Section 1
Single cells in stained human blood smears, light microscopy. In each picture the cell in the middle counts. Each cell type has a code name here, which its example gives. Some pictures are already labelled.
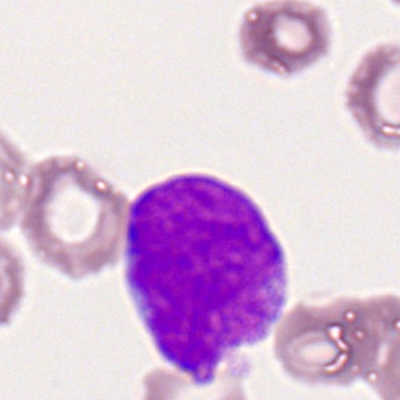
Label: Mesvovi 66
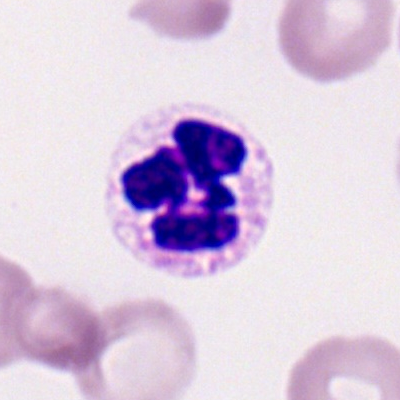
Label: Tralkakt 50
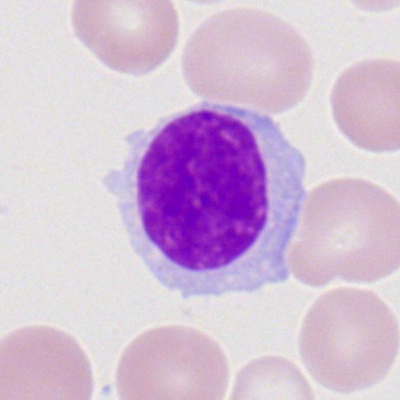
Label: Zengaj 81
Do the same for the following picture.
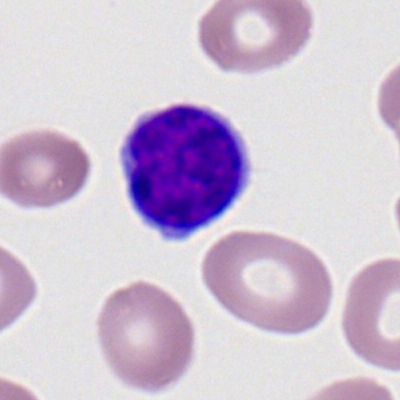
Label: Zengaj 81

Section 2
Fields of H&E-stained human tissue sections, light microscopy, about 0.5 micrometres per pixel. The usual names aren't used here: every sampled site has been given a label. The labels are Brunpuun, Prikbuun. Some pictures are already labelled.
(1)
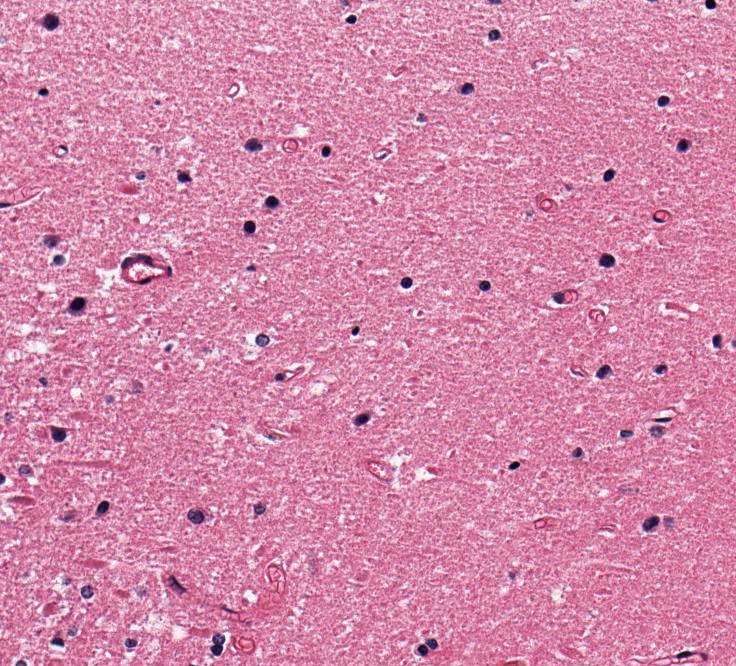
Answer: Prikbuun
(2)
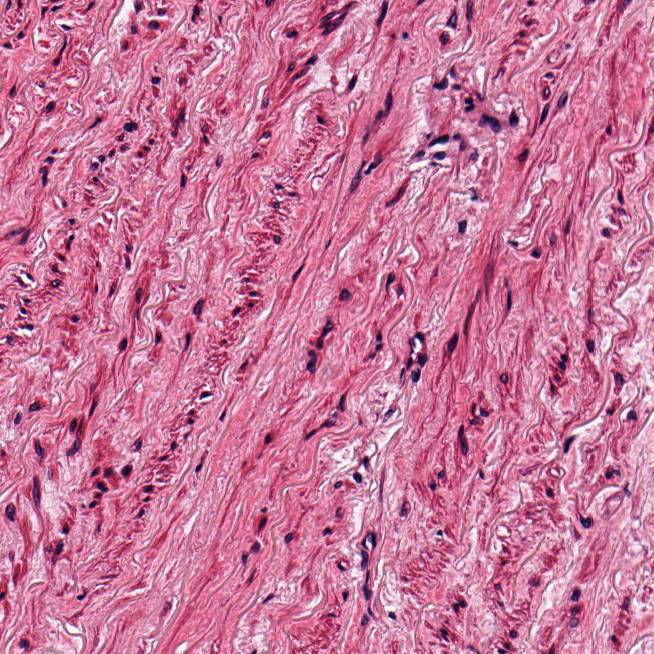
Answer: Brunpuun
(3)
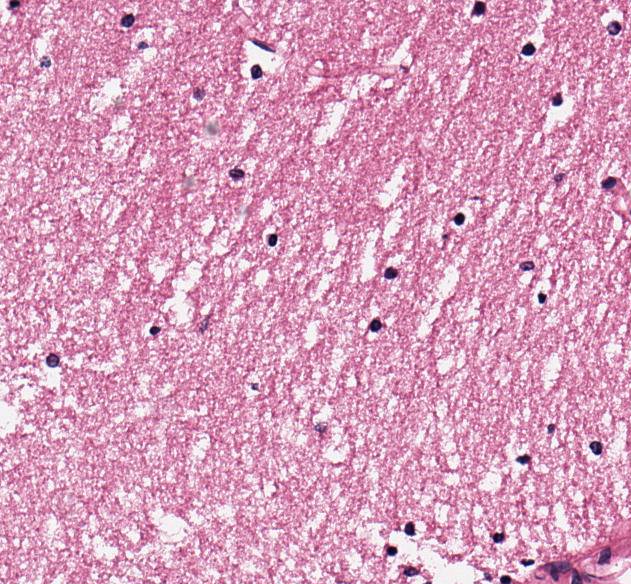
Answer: Prikbuun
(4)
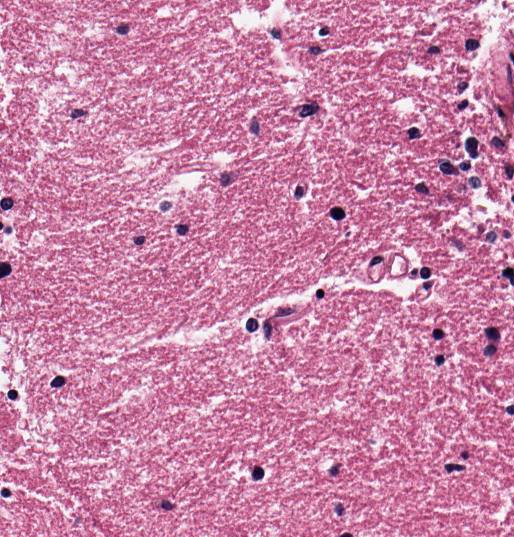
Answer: Prikbuun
